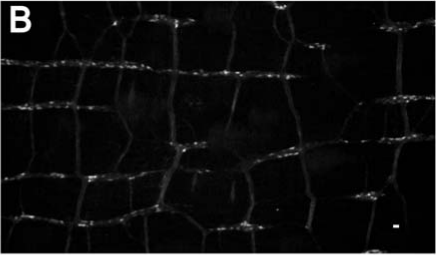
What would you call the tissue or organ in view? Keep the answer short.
Myenteric.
